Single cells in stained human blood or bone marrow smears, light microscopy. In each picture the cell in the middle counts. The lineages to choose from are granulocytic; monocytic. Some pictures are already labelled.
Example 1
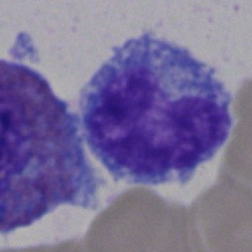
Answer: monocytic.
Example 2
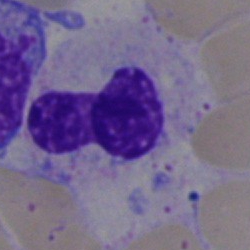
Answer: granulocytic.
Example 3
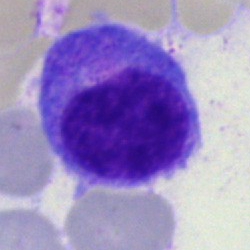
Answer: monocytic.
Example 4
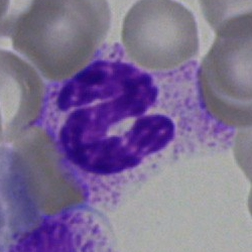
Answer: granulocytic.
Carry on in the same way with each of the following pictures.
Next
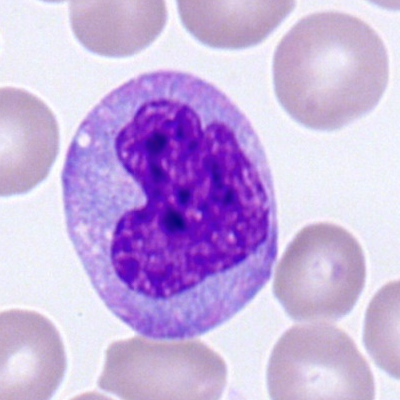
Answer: monocytic.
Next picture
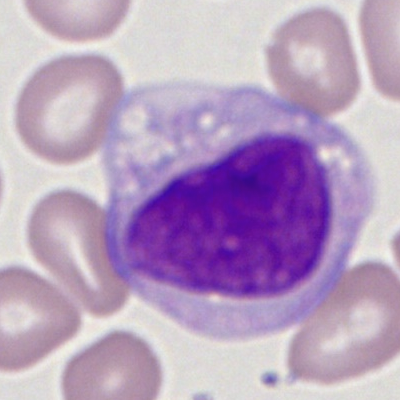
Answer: monocytic.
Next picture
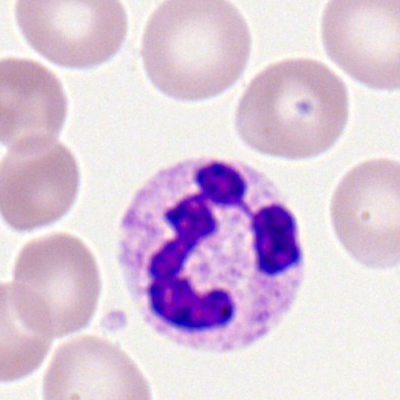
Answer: granulocytic.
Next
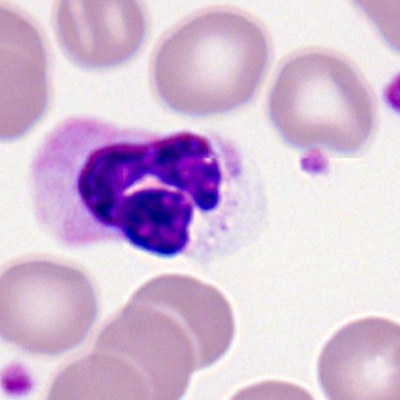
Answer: granulocytic.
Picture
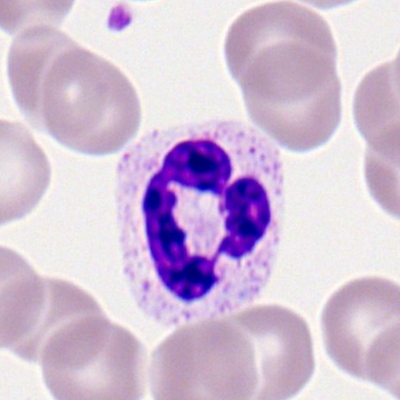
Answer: granulocytic.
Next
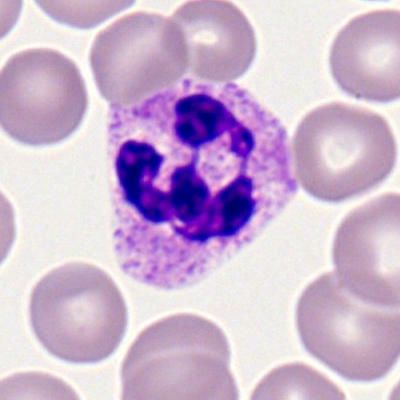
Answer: granulocytic.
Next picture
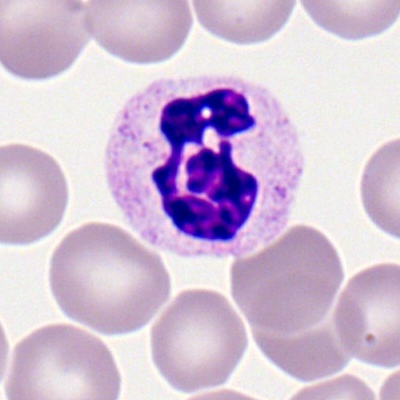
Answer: granulocytic.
